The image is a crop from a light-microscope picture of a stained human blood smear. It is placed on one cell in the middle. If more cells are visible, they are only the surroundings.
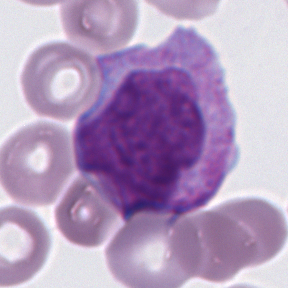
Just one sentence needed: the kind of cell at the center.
The cell at the middle of the crop is recognized as an atypical promyelocyte.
